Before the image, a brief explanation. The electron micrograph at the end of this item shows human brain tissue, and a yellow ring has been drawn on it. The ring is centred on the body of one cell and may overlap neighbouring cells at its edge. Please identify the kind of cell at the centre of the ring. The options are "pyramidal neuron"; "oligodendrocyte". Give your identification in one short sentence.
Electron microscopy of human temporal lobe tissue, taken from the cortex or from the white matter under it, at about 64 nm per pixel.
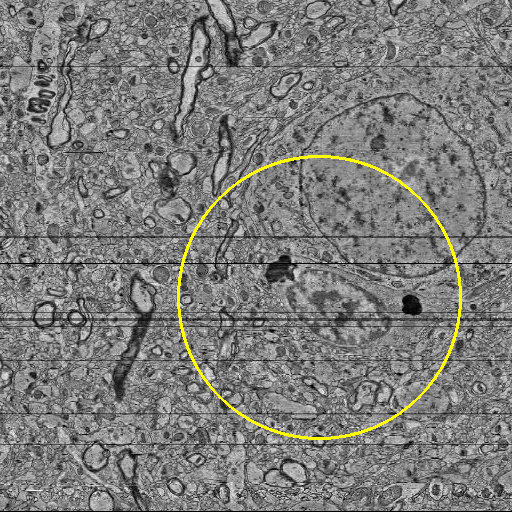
The ring has been placed around an oligodendrocyte.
